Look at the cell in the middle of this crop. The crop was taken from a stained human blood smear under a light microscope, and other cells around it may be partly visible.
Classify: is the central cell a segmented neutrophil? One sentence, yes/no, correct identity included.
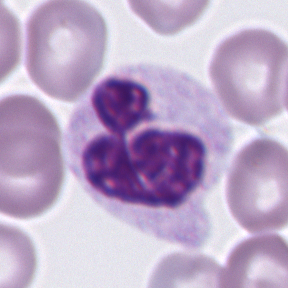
Yes, the cell in the middle has the identity of a segmented neutrophil.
